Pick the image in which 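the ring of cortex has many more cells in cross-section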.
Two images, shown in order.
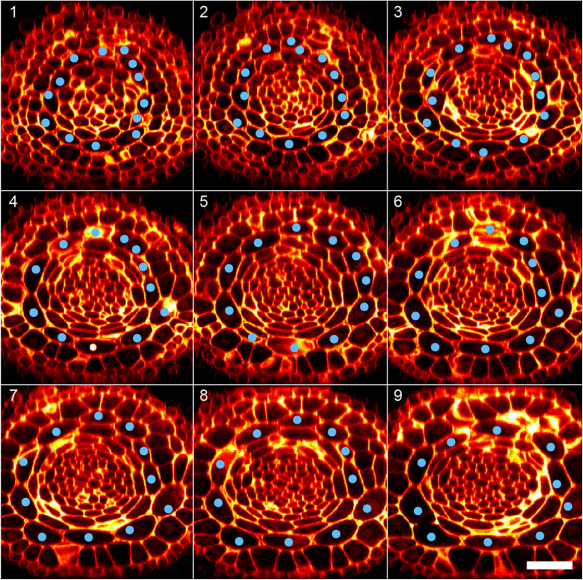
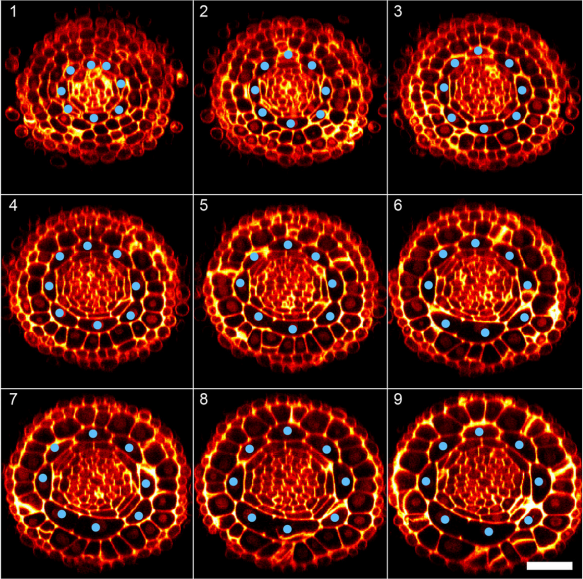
The first image.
